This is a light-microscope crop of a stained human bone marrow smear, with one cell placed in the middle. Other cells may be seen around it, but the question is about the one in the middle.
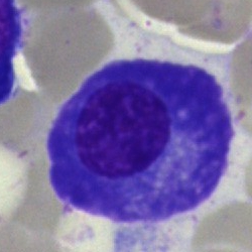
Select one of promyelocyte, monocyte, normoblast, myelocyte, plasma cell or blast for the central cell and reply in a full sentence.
In the central position of this crop, the cell is a plasma cell.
